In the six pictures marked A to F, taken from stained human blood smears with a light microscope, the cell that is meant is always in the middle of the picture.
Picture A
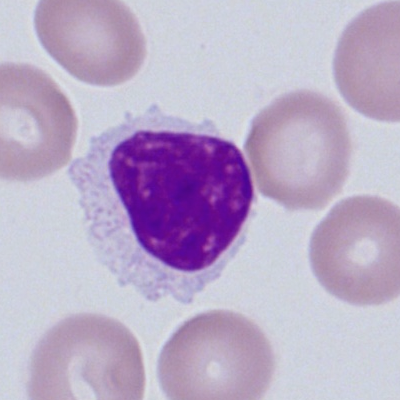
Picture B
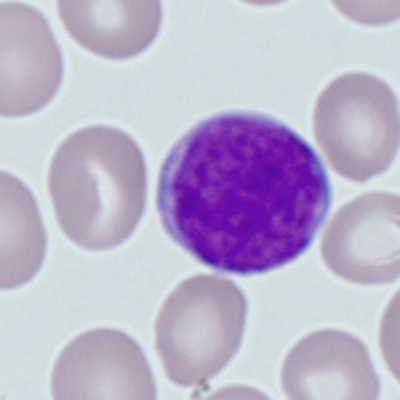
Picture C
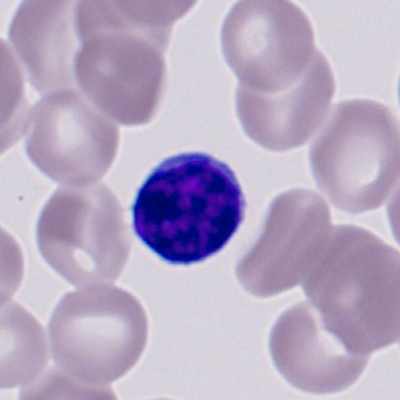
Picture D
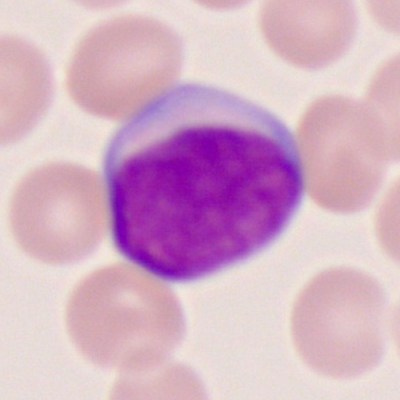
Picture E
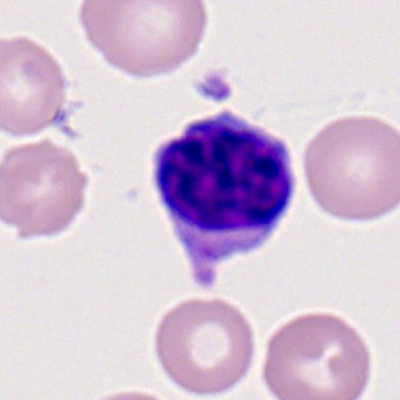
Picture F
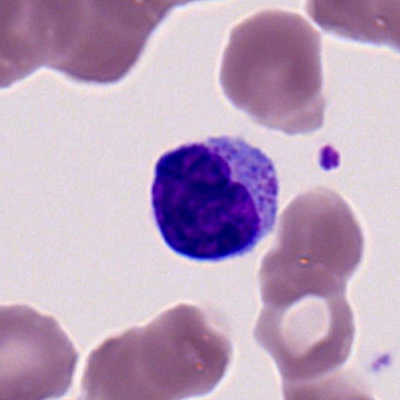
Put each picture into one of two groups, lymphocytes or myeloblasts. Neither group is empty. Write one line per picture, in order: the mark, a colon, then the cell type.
A: lymphocyte
B: myeloblast
C: lymphocyte
D: myeloblast
E: lymphocyte
F: lymphocyte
